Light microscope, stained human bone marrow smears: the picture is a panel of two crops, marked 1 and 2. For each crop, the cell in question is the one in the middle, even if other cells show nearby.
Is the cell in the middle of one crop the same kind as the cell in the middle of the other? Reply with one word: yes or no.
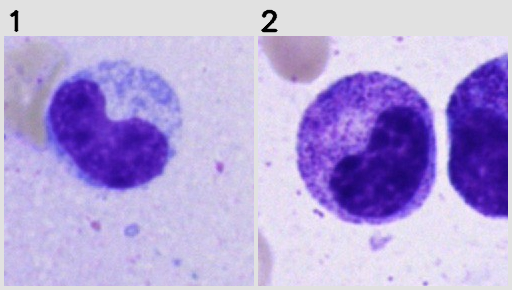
yes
